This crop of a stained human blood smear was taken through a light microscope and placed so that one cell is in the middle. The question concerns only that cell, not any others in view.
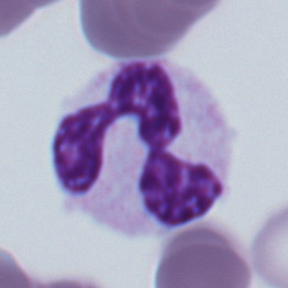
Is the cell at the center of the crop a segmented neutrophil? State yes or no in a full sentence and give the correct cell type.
Yes, the cell at the centre of this crop is identified as a segmented neutrophil.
